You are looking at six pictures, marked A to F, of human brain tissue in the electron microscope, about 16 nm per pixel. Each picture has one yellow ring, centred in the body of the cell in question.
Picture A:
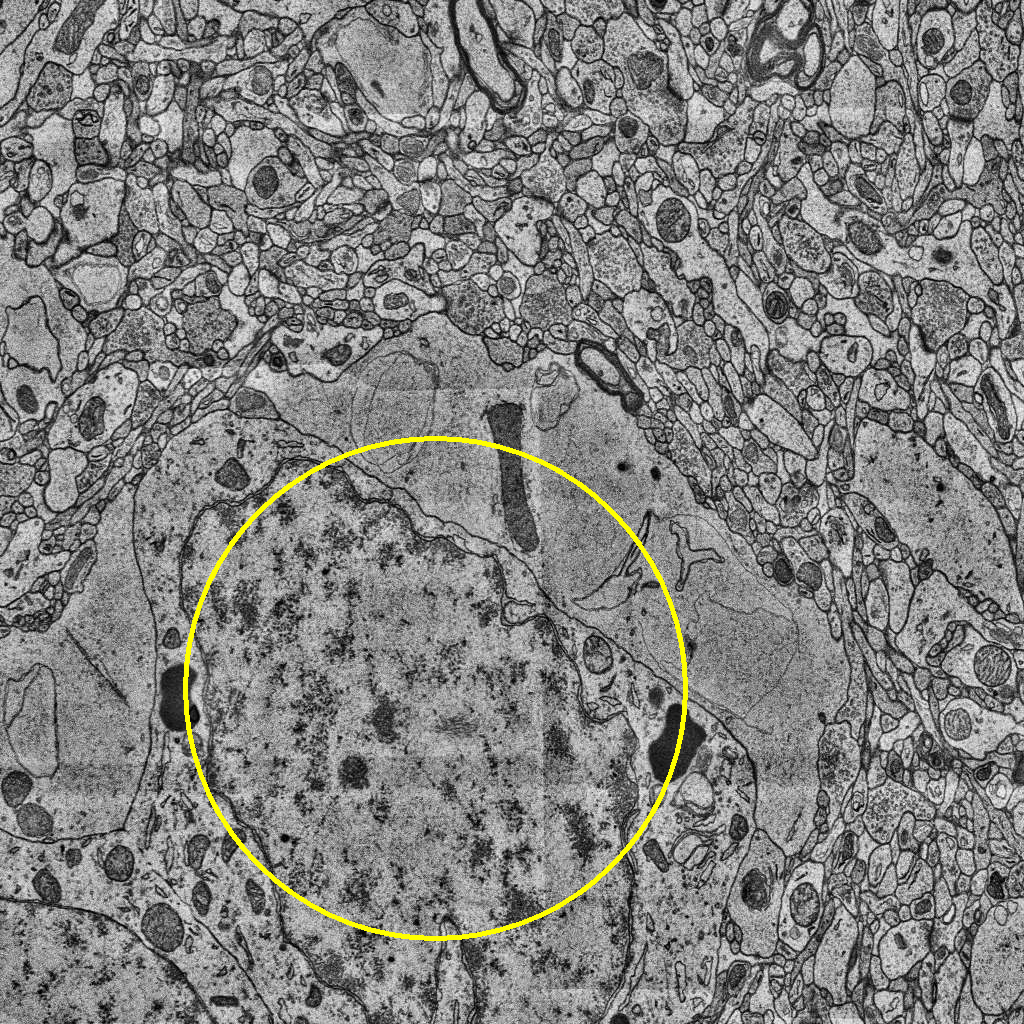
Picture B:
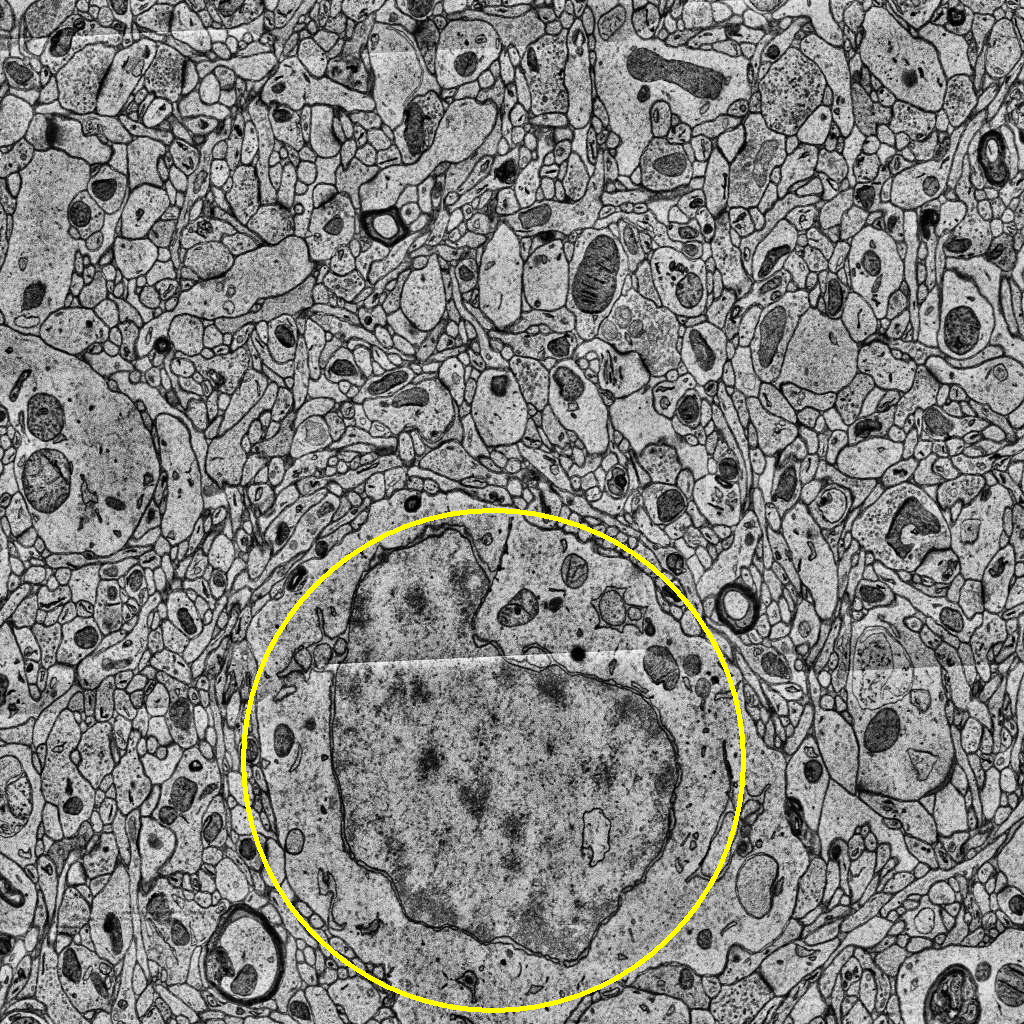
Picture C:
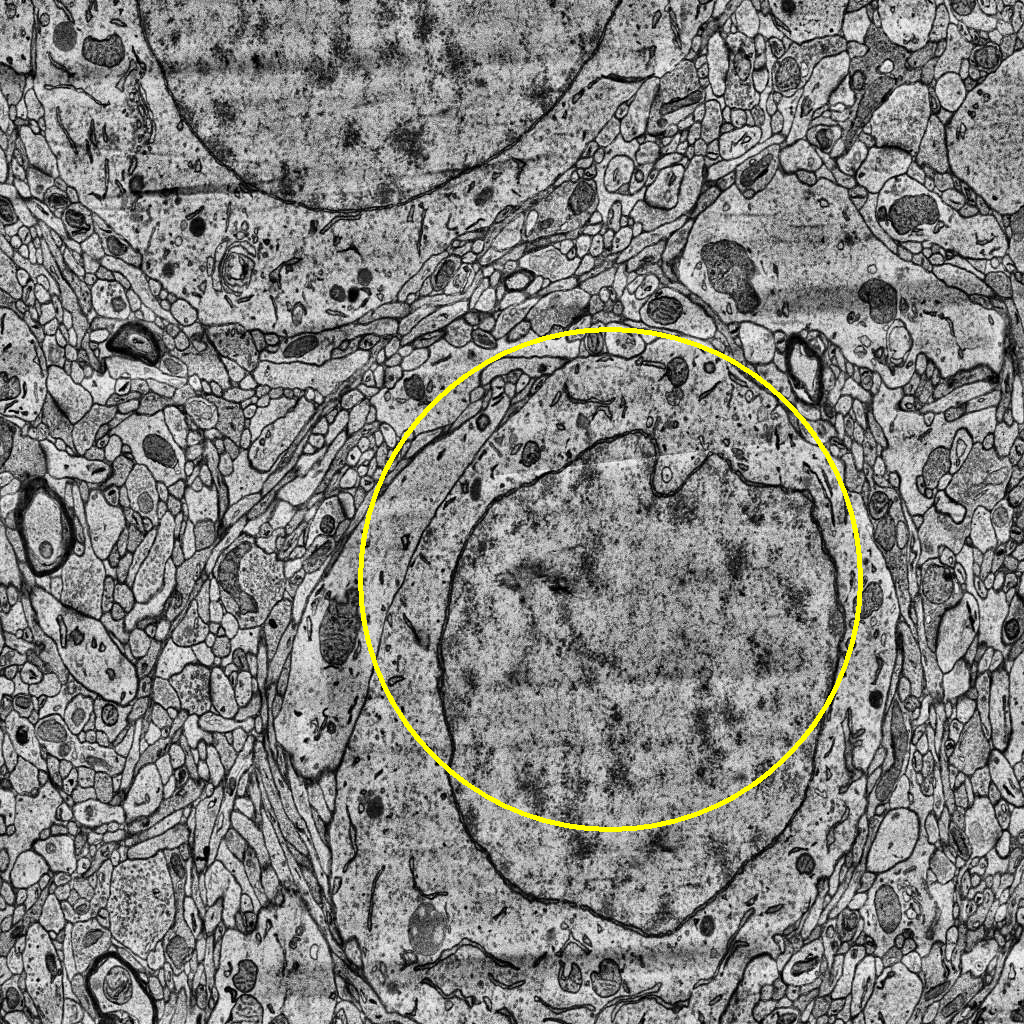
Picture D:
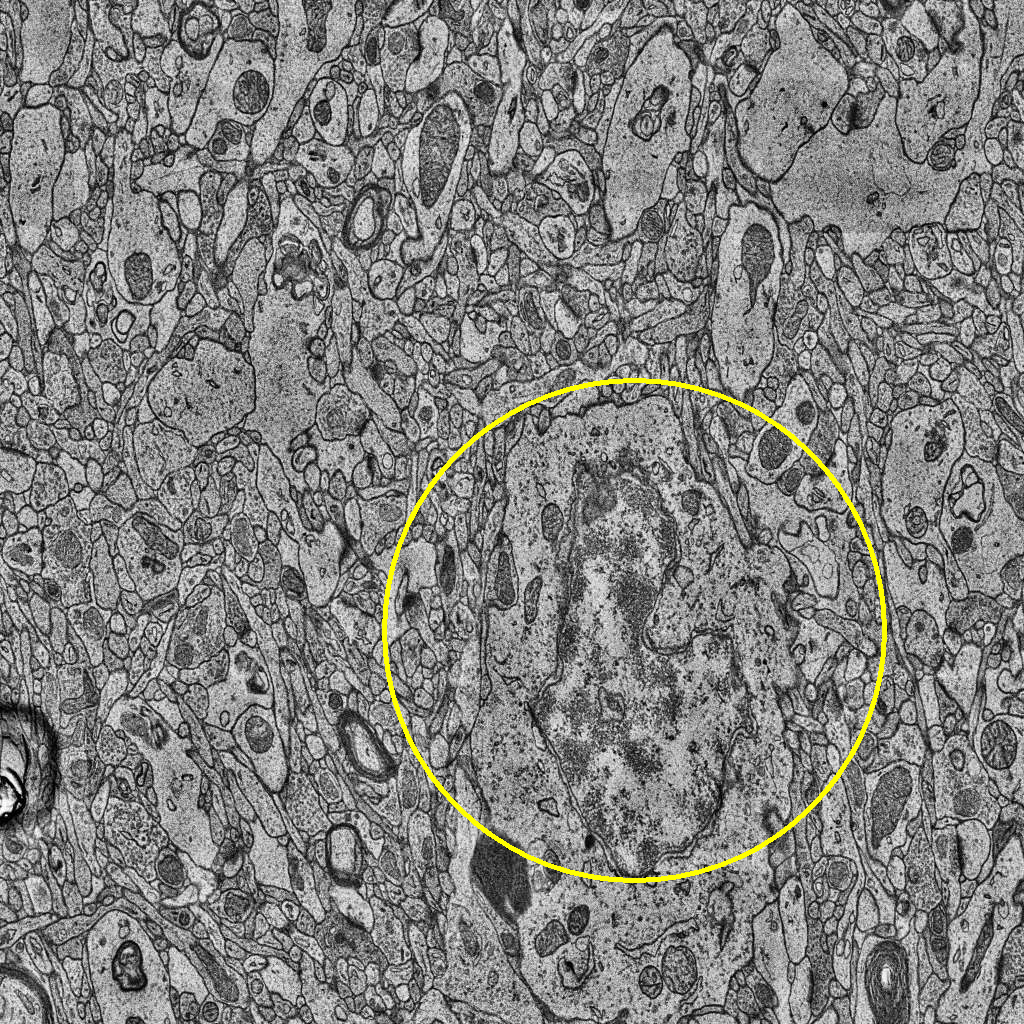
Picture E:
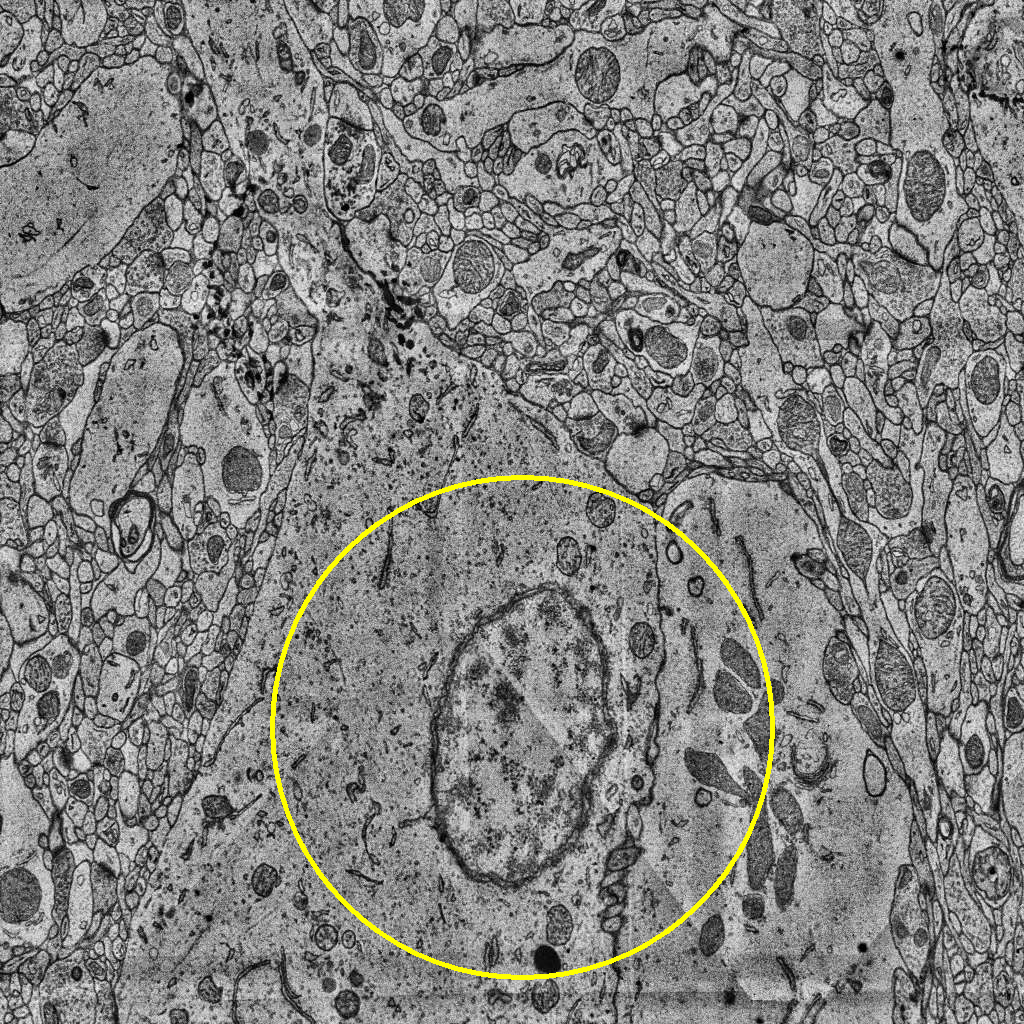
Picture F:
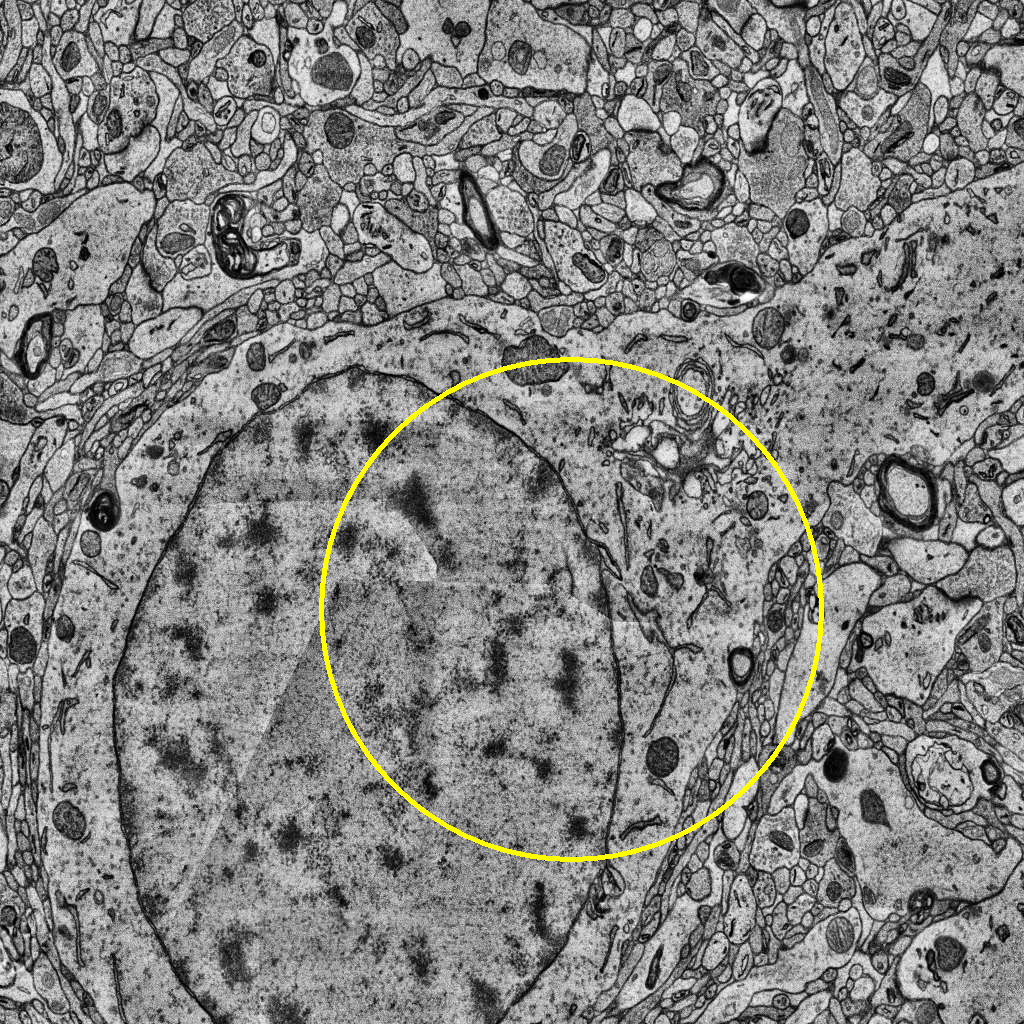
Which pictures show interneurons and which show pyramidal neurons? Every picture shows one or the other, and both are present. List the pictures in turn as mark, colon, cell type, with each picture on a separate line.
A: interneuron
B: interneuron
C: pyramidal neuron
D: interneuron
E: pyramidal neuron
F: pyramidal neuron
